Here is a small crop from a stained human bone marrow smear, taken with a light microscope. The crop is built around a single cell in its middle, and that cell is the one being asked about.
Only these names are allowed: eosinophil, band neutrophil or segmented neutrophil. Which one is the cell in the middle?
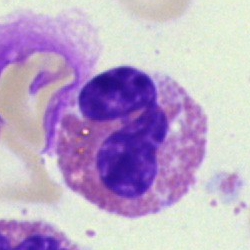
eosinophil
